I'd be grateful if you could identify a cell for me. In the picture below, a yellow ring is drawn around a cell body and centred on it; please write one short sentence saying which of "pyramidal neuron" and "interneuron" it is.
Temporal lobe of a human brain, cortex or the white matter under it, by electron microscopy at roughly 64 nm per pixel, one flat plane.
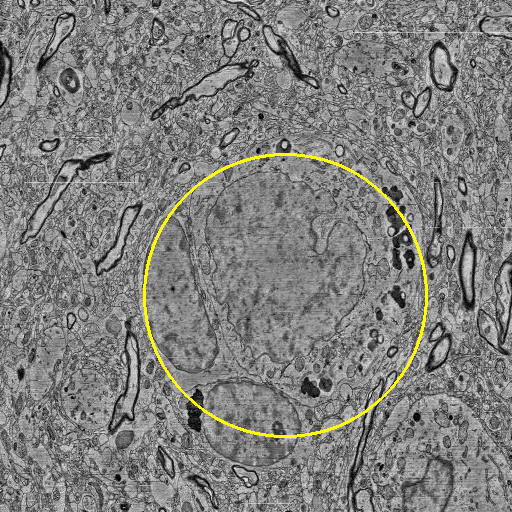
The cell under the ring's centre is an interneuron.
